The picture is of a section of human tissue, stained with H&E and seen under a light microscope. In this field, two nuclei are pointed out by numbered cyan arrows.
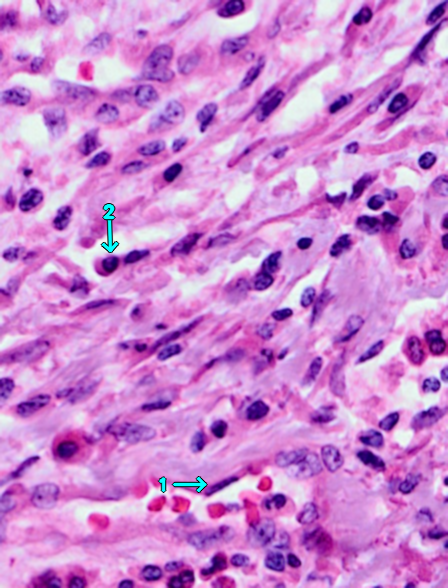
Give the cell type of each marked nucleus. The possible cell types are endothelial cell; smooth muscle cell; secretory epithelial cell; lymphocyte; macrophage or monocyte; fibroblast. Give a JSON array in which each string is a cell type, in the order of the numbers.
["endothelial cell", "lymphocyte"]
